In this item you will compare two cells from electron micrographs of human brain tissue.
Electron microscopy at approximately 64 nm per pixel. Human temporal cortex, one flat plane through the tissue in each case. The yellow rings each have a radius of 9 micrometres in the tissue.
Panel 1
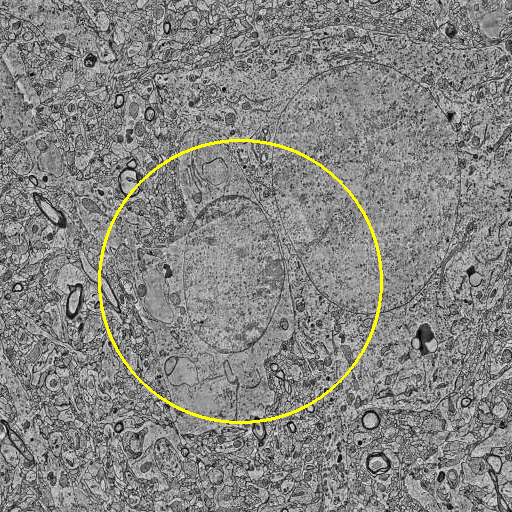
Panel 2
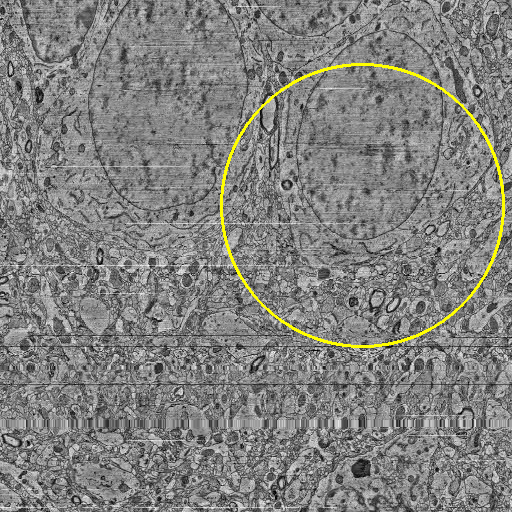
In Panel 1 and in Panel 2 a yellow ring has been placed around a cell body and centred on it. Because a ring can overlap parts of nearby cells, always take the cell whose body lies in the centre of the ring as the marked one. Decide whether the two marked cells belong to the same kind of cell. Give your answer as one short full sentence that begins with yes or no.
No, the two marked cells belong to two kinds of cell.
